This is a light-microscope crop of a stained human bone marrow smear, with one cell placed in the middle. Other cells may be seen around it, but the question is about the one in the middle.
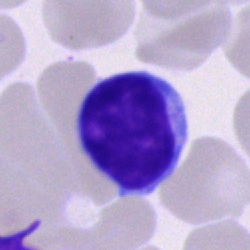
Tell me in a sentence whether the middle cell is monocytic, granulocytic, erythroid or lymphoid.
As for the cell in the middle, its lineage is lymphoid.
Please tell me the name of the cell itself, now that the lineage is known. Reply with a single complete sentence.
This crop's central cell is a lymphocyte.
